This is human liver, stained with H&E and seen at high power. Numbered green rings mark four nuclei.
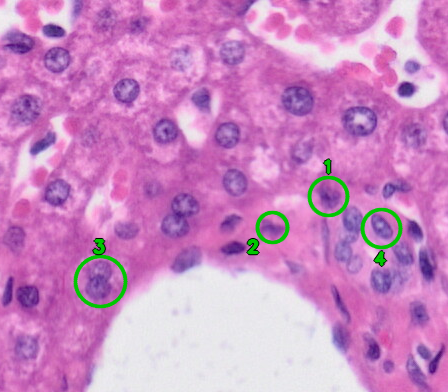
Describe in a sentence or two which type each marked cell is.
Cell 1 is a fibroblast or stellate cell, cell 2 is a fibroblast or stellate cell, cell 3 is a hepatocyte and cell 4 is a cholangiocyte.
